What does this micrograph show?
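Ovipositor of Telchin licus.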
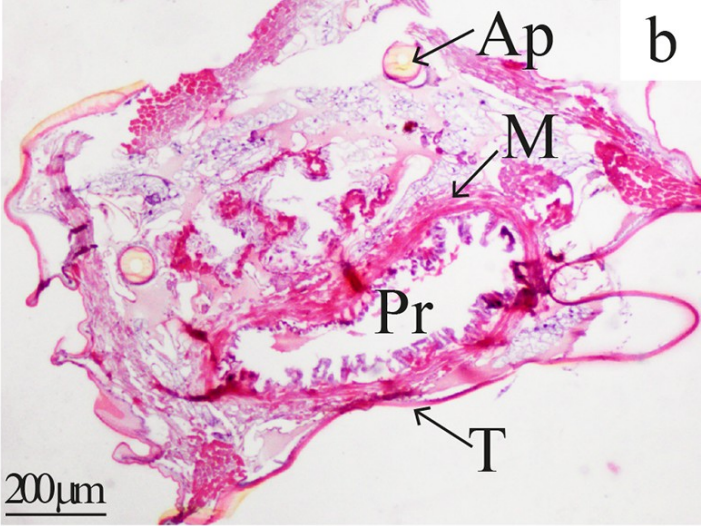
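A thin, pink, folded tegument encloses the section and forms a long loop toward the right. Inside it, pink muscle bundles run around and converge on a central proctodeum, which has an irregular, folded lining and a clear lumen. Two small round apodemes with refractile walls lie toward the top and the left. Much of the remaining space is filled with loose, pale, vacuolated tissue with scattered purple nuclei. Deep red, blocky tissue lies at the upper edges and the lower left. The tissue is partly torn, leaving empty spaces.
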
